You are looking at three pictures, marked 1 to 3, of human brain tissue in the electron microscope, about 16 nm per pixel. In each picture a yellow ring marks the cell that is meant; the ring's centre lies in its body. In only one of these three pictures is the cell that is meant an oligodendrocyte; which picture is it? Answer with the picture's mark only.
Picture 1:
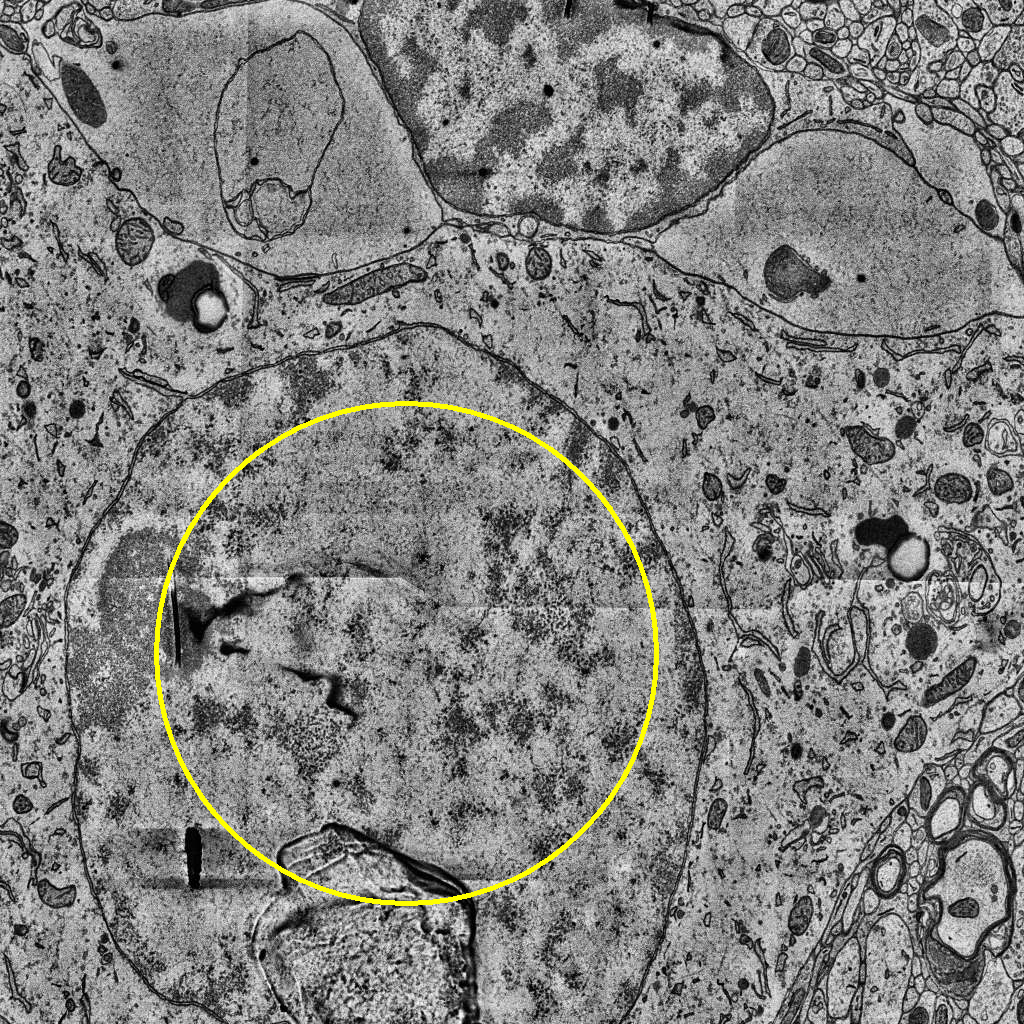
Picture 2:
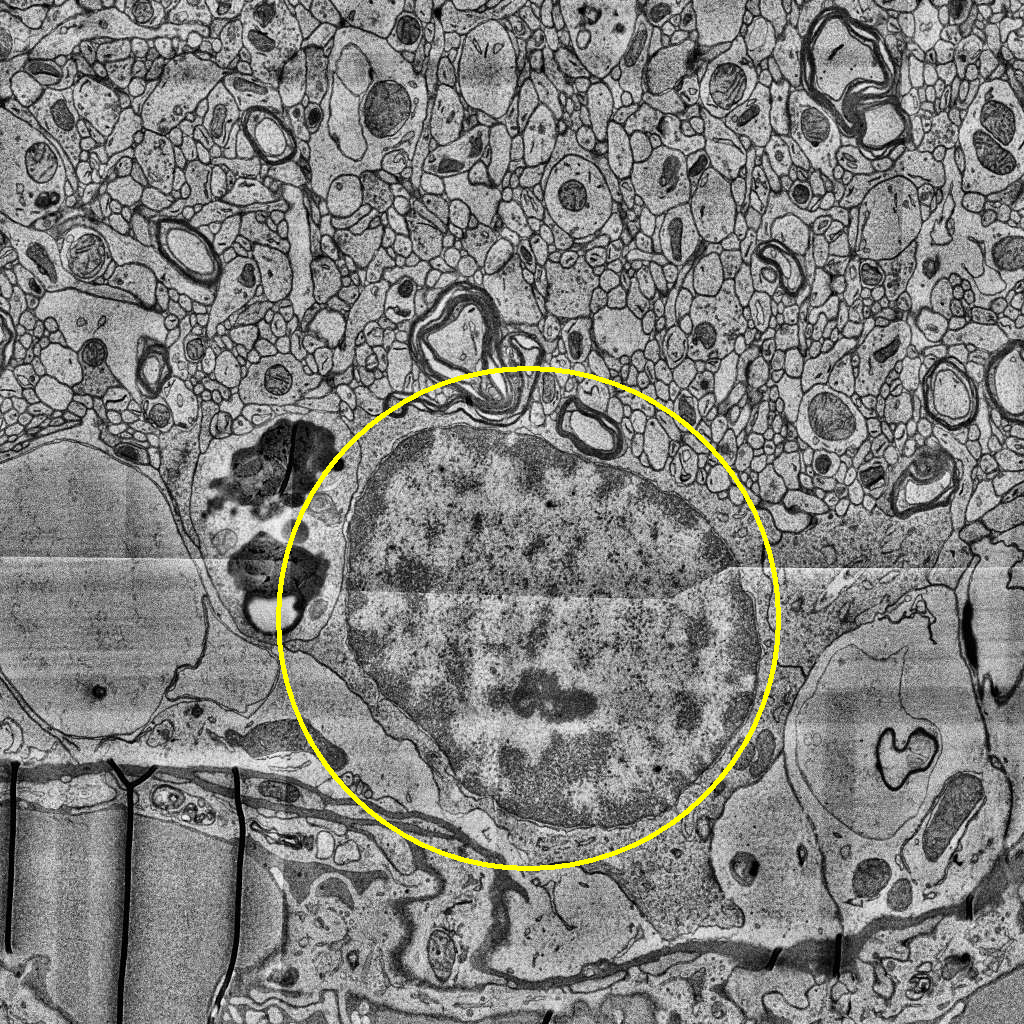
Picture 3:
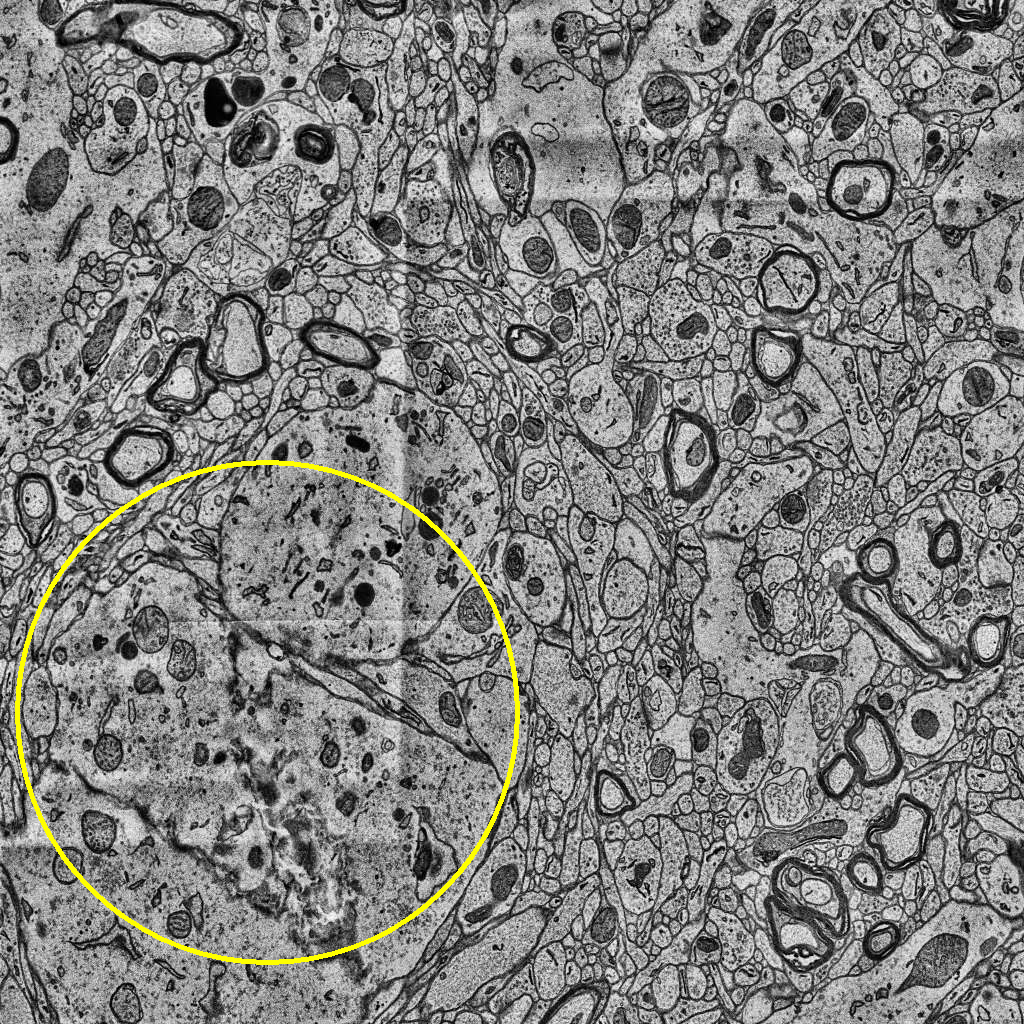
2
